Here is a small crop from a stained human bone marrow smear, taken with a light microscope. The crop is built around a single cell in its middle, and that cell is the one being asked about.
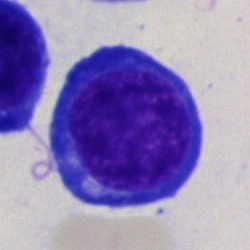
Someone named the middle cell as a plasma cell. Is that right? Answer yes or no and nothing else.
no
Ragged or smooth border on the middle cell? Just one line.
From every side, the cell boundary is smooth and free of projections.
